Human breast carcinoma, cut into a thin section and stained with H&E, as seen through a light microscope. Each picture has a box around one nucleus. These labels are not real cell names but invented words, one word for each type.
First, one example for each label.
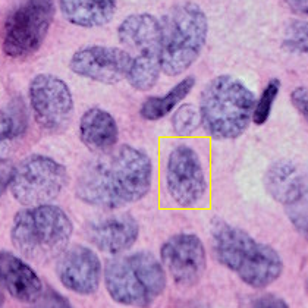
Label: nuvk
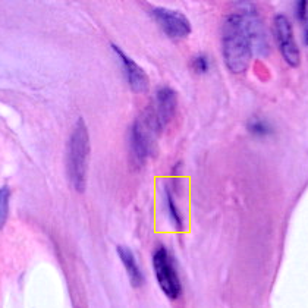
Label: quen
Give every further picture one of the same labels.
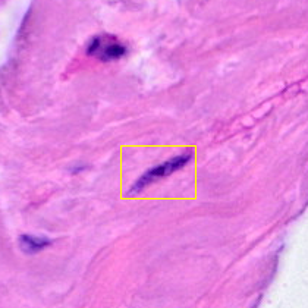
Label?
quen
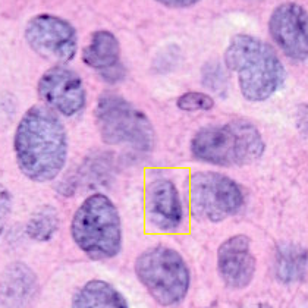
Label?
nuvk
